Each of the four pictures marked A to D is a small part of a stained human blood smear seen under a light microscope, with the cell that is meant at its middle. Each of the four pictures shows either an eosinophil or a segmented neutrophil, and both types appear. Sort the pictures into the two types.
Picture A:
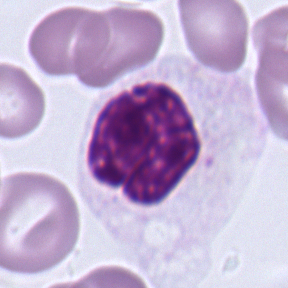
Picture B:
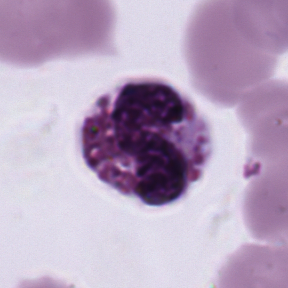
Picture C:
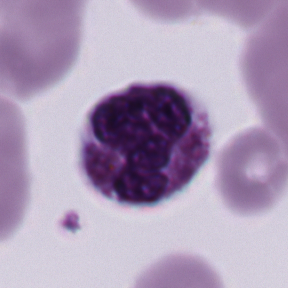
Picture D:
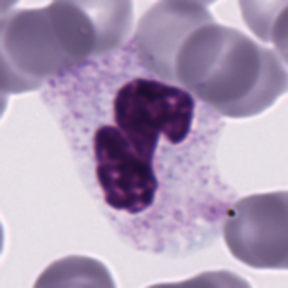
A: segmented neutrophil
B: eosinophil
C: eosinophil
D: segmented neutrophil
